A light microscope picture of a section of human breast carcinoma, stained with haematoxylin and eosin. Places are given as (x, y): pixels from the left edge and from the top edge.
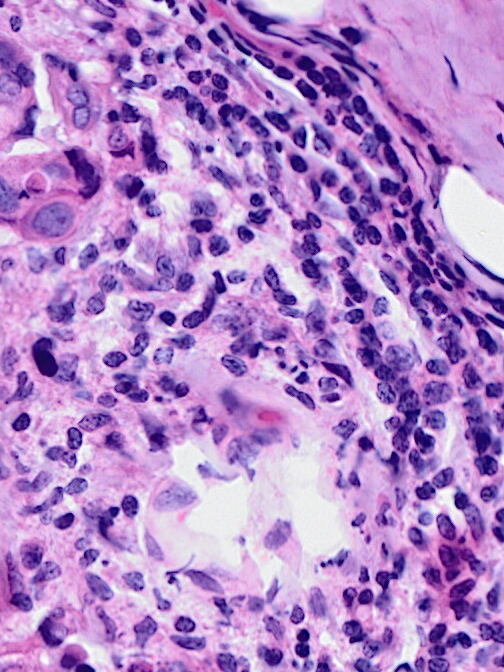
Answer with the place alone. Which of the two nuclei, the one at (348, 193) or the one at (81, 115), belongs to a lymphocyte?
(348, 193)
